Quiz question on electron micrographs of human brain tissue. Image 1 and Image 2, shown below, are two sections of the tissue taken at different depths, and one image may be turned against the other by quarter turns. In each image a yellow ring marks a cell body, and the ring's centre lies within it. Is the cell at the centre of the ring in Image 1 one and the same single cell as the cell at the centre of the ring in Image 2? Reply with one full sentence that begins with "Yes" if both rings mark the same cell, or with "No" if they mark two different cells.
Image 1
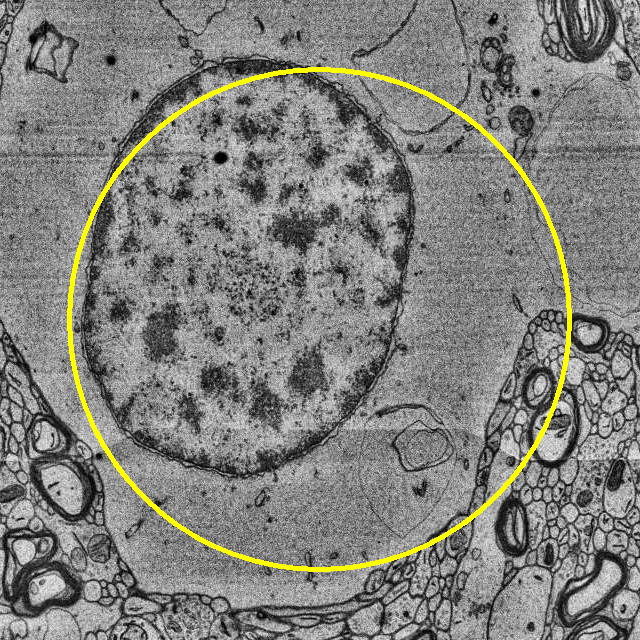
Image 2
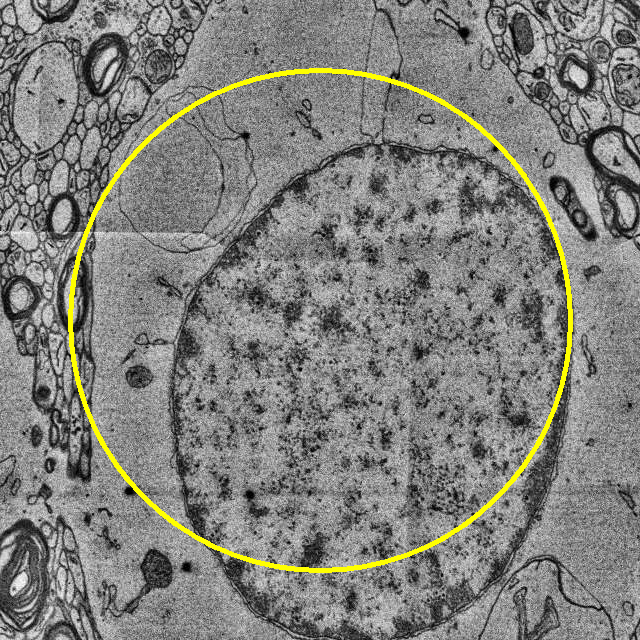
Yes, only one cell is involved, and both rings mark it.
